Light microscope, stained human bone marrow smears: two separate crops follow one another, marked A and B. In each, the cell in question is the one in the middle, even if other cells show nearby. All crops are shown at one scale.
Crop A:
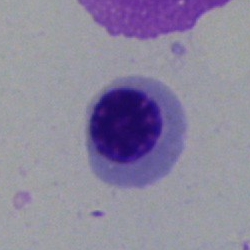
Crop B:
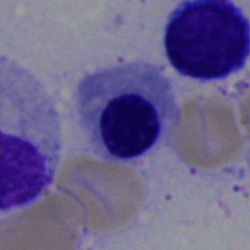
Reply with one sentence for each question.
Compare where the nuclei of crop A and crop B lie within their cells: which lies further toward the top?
It is the nucleus in crop A that lies further toward the top of its cell.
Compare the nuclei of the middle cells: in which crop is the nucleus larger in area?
The nucleus in crop A is larger, with about 1.5 times the area of the one in crop B.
